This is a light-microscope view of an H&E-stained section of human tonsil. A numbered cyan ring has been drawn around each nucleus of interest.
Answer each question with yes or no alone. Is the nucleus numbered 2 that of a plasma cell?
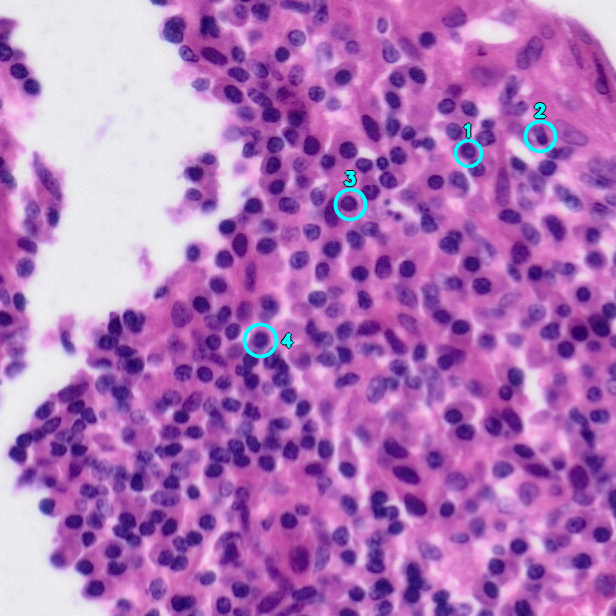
no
